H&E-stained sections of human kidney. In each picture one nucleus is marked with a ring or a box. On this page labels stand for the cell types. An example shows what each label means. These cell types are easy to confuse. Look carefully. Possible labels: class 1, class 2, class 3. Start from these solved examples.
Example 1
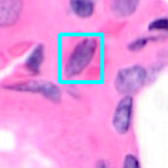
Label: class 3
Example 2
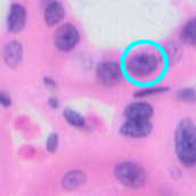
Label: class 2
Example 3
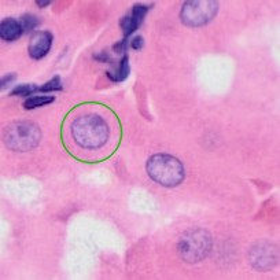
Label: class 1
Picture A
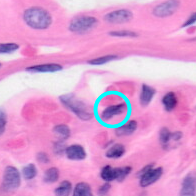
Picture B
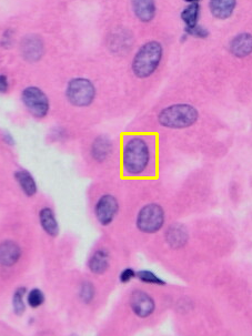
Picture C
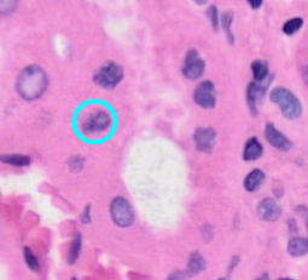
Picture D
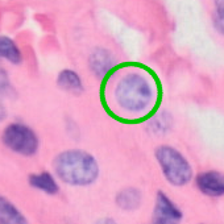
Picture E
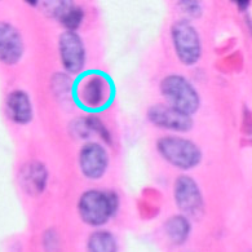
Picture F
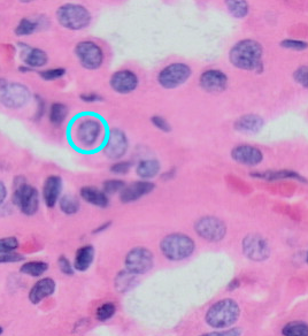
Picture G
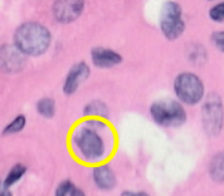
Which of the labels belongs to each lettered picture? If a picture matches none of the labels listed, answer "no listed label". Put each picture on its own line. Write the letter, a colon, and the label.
A: class 3
B: class 1
C: no listed label
D: class 2
E: class 2
F: class 2
G: class 2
